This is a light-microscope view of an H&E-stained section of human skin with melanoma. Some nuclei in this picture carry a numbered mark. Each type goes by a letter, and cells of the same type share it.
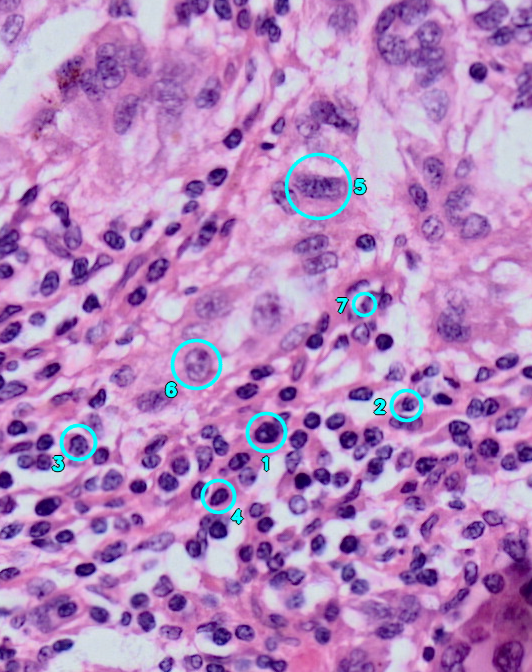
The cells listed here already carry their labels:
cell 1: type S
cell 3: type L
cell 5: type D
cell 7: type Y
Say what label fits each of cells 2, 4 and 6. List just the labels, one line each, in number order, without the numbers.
type L
type S
type D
